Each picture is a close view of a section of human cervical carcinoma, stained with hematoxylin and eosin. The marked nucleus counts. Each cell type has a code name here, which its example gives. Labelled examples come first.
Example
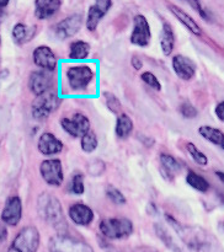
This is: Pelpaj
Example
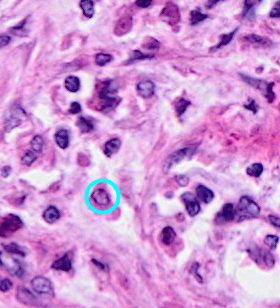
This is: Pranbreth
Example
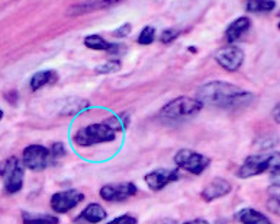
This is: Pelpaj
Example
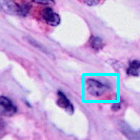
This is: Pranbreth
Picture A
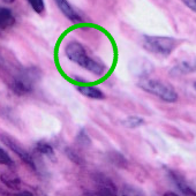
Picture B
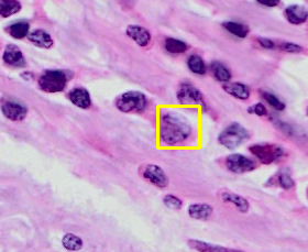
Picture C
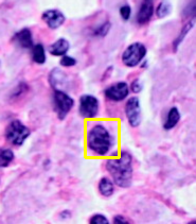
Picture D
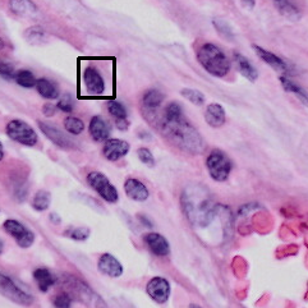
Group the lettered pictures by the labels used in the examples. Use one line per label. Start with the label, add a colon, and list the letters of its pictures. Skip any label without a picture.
Pelpaj: C, D
Pranbreth: A, B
